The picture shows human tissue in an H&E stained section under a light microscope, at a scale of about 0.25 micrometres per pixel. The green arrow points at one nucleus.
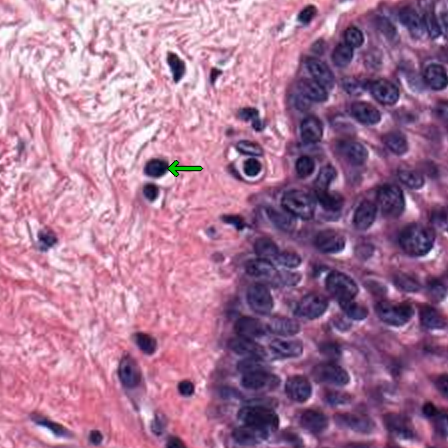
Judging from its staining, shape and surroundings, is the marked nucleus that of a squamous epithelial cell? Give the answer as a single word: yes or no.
no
